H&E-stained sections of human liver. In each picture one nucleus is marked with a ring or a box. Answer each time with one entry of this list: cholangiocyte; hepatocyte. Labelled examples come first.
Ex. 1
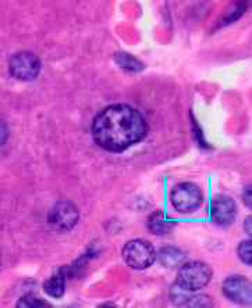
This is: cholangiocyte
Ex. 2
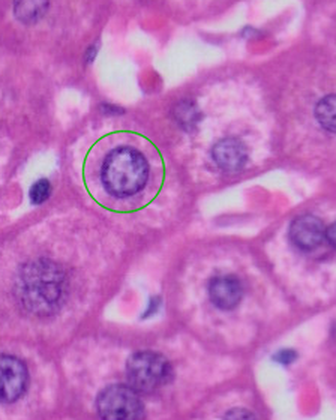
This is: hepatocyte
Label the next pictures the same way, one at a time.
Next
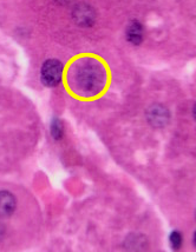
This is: hepatocyte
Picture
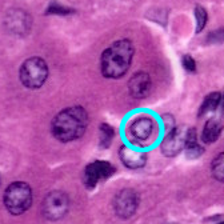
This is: cholangiocyte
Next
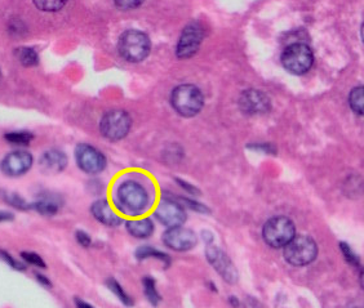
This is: cholangiocyte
